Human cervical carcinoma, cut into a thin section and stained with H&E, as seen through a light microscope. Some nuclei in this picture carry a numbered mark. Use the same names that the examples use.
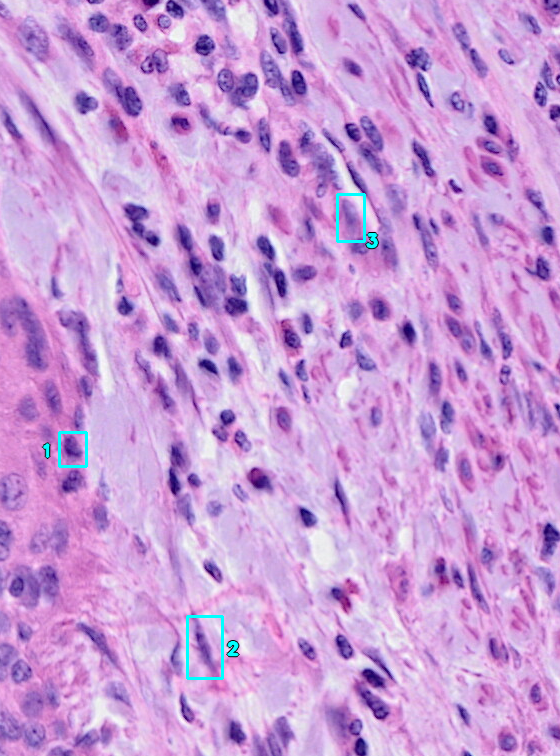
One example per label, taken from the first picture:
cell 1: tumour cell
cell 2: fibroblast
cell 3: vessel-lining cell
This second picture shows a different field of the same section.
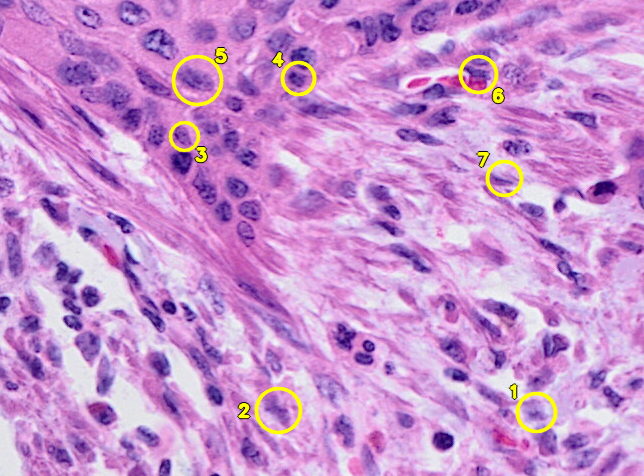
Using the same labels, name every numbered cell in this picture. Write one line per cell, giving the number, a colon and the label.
1: fibroblast
2: fibroblast
3: tumour cell
4: tumour cell
5: tumour cell
6: vessel-lining cell
7: fibroblast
